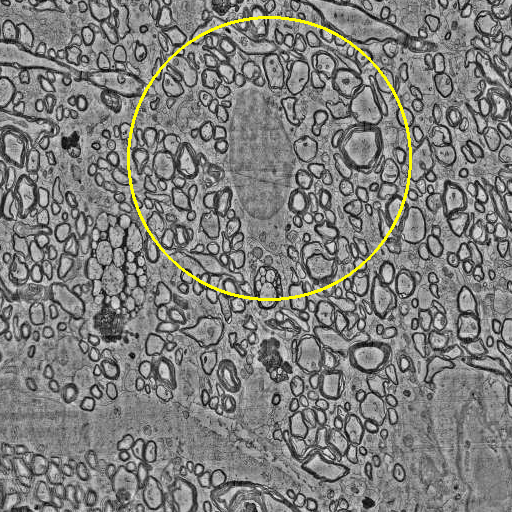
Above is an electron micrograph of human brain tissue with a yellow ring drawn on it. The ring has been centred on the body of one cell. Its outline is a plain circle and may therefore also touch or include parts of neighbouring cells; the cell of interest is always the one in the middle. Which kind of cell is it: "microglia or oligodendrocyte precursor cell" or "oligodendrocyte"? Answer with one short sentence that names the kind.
The ring's central cell body is that of an oligodendrocyte.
